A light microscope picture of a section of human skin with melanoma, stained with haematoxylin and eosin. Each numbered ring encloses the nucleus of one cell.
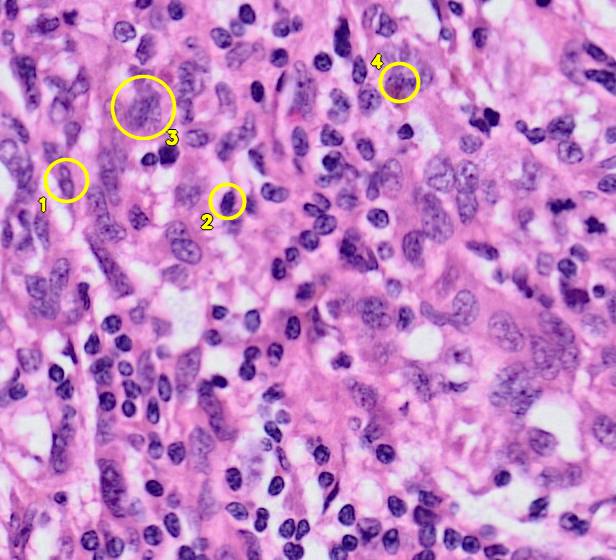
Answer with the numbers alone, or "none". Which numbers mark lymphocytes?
2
